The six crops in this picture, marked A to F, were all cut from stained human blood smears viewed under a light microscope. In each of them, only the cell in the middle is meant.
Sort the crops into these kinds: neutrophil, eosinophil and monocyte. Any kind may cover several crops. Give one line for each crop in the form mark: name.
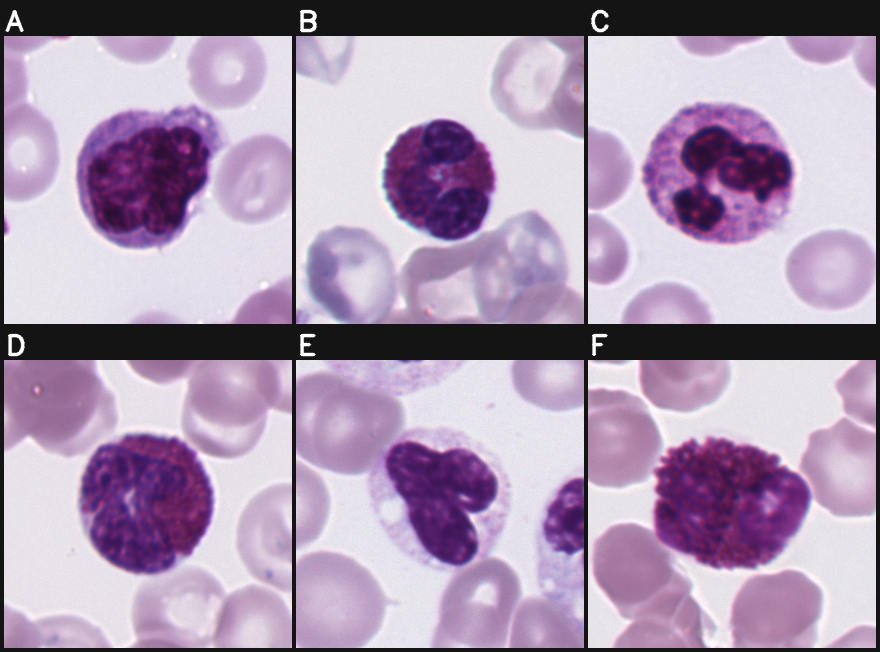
A: monocyte
B: eosinophil
C: neutrophil
D: eosinophil
E: neutrophil
F: eosinophil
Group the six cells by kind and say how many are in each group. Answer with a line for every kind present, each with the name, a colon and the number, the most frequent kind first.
eosinophil: 3
neutrophil: 2
monocyte: 1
